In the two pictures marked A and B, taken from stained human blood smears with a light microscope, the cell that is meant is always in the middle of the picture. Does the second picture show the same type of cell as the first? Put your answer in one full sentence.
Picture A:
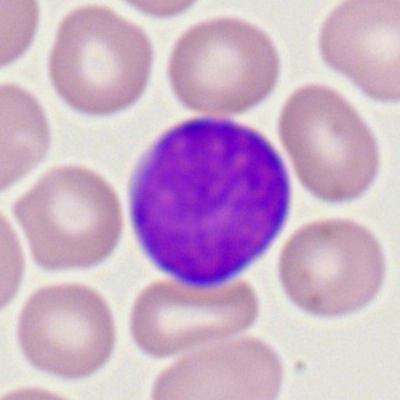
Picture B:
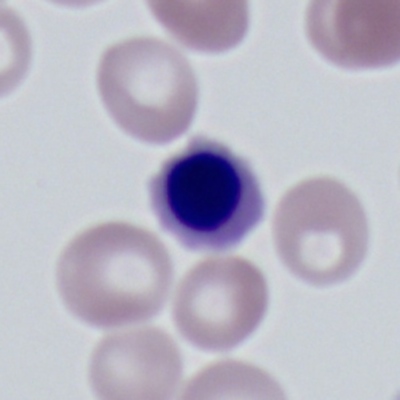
No, picture A shows a myeloblast and picture B shows an erythroblast.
